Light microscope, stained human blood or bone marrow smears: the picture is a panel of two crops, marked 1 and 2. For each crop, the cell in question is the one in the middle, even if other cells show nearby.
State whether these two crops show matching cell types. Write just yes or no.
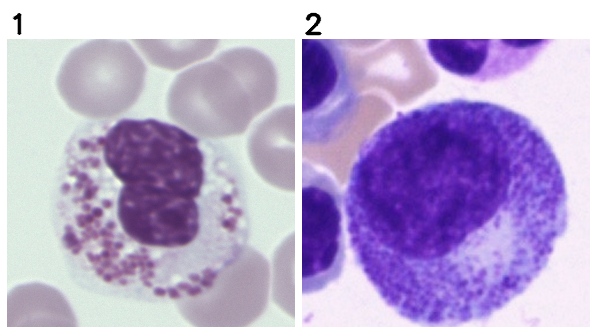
no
